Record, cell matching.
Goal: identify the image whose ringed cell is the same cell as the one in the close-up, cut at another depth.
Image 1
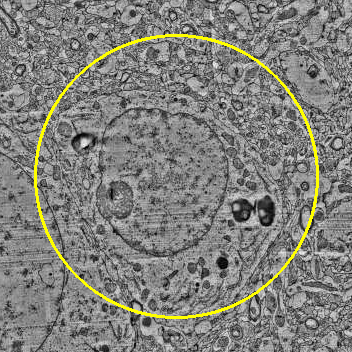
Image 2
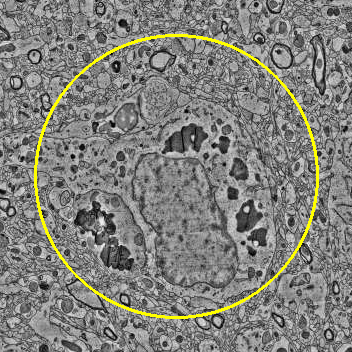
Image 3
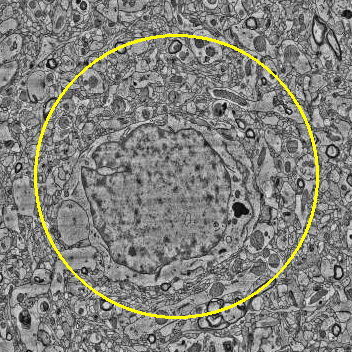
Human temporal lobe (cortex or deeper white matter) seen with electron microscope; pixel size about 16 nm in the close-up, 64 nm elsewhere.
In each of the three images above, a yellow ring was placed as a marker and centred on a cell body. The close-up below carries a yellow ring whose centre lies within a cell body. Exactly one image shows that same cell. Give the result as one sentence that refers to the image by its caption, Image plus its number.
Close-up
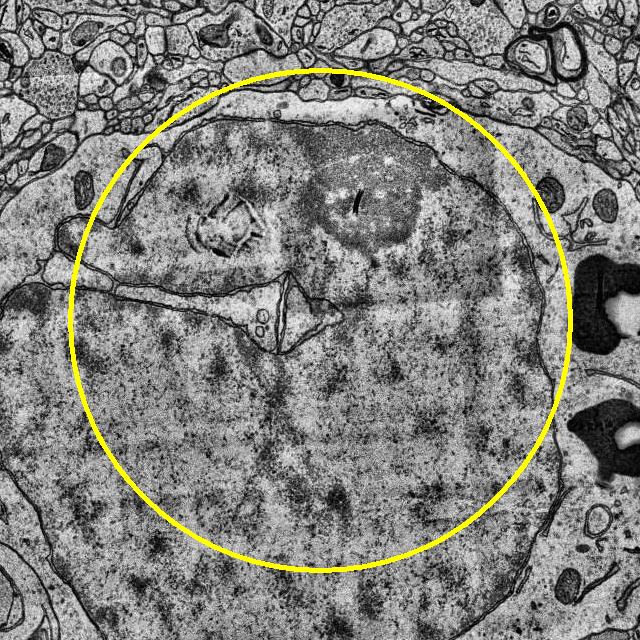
The cell chosen for the close-up is marked in Image 3.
